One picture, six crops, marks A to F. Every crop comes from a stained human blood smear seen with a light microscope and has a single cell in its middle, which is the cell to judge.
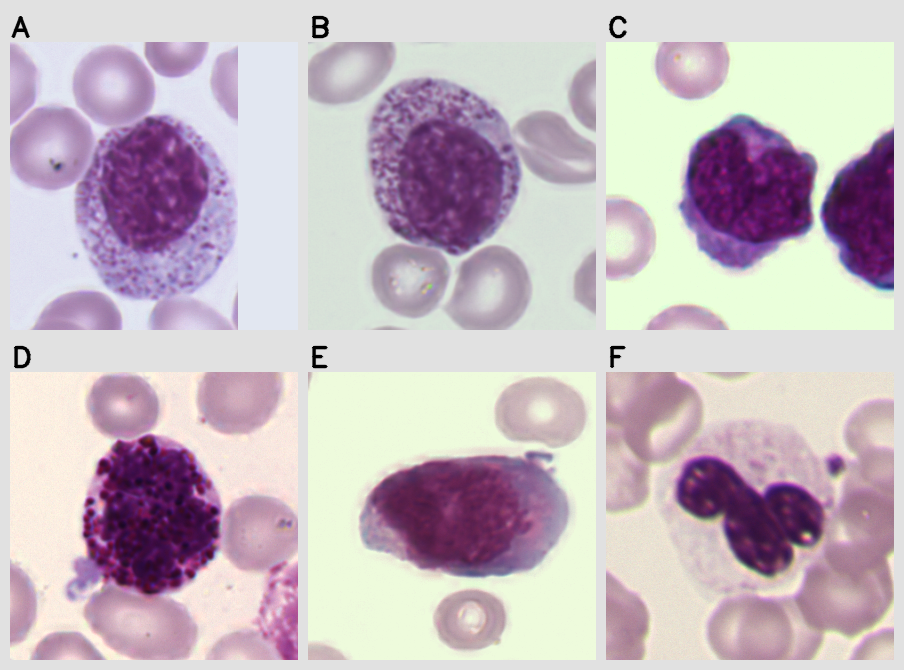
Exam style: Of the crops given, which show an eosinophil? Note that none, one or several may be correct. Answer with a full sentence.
All the crops lack an eosinophil at their centre.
